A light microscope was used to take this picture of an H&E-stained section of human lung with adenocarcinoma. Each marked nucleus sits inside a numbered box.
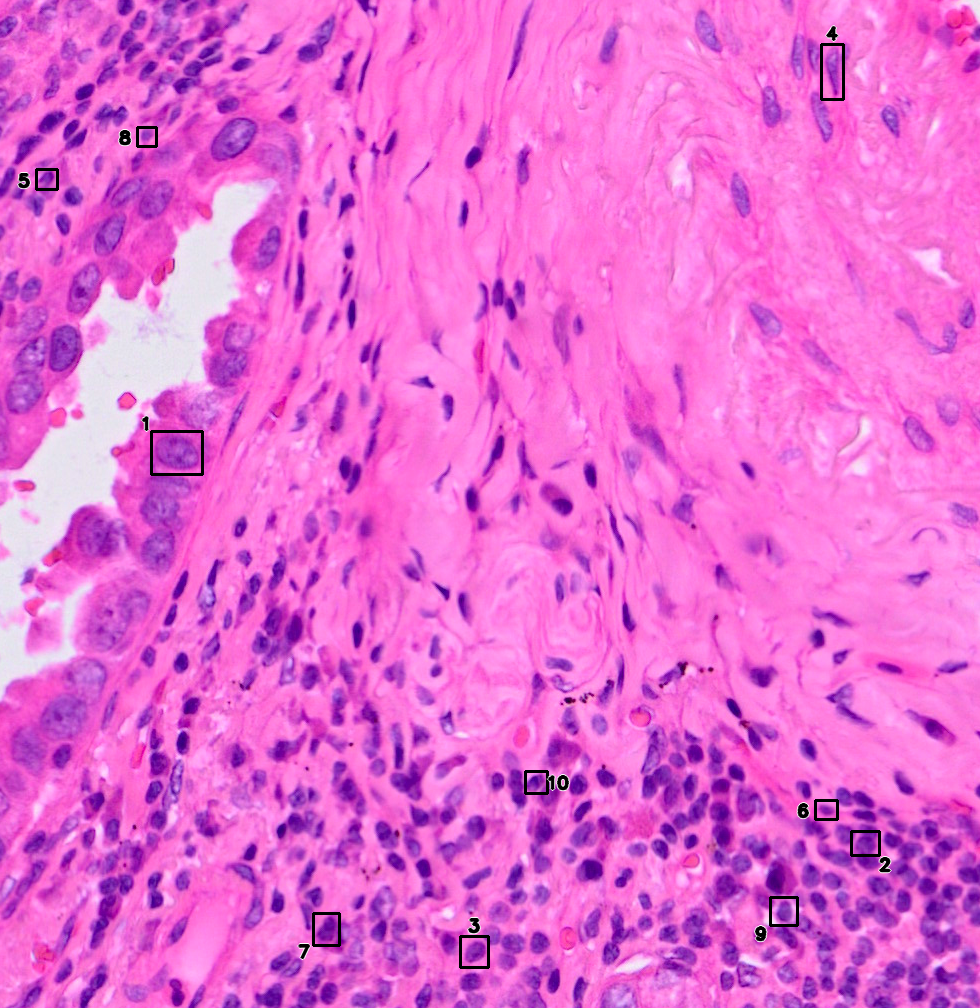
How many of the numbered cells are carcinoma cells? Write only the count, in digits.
1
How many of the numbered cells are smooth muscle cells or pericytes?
1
